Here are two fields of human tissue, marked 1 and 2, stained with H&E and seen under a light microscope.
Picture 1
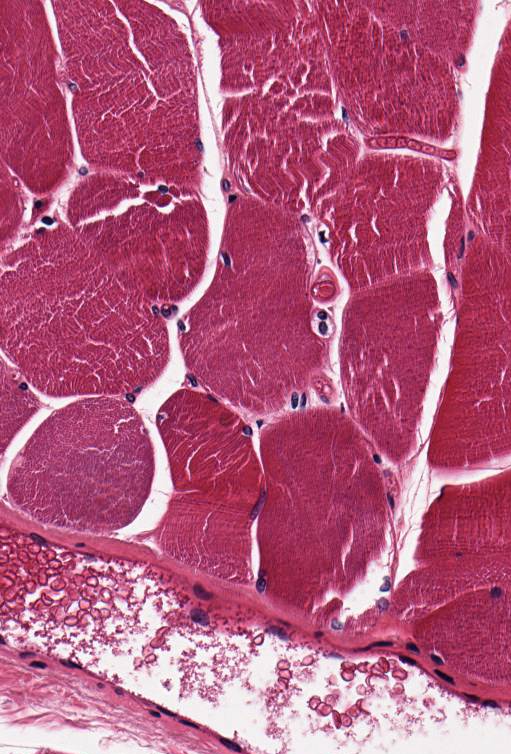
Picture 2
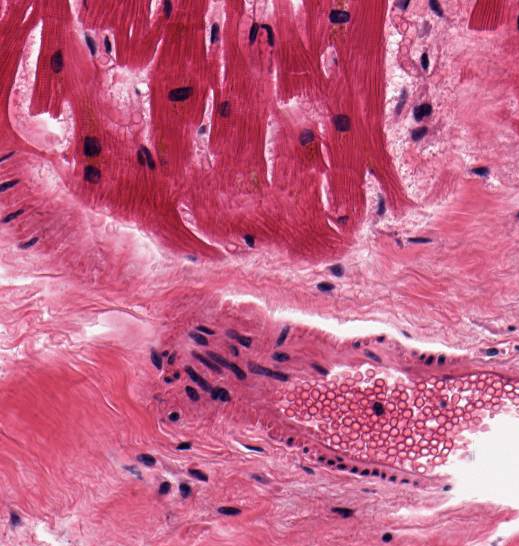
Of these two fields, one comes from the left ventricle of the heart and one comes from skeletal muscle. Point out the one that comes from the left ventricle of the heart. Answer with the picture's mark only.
2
